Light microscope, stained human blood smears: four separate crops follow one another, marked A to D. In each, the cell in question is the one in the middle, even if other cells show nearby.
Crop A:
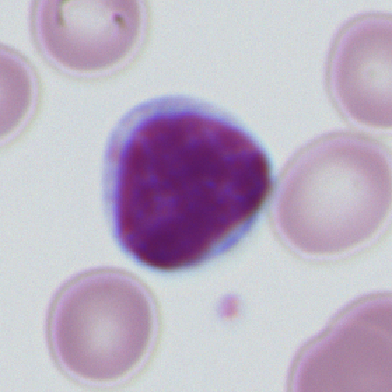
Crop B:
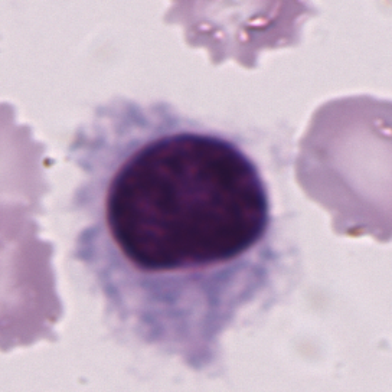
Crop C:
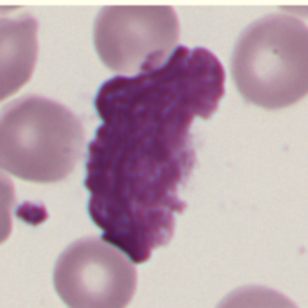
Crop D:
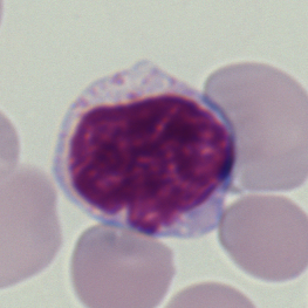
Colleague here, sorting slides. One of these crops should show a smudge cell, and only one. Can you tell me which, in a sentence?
Crop C is the one in this set that shows a smudge cell.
